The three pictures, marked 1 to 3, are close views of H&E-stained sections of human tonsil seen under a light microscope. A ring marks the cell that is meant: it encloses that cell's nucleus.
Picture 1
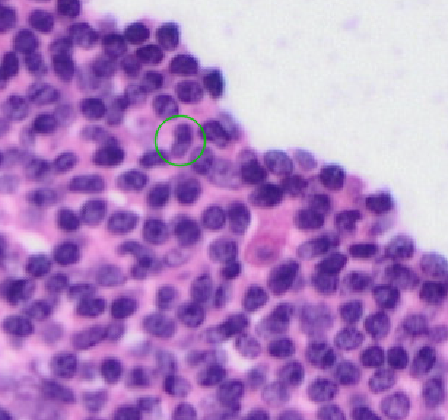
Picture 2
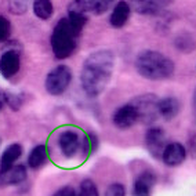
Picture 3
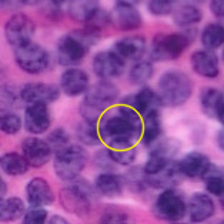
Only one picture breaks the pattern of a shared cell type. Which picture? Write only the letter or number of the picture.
2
